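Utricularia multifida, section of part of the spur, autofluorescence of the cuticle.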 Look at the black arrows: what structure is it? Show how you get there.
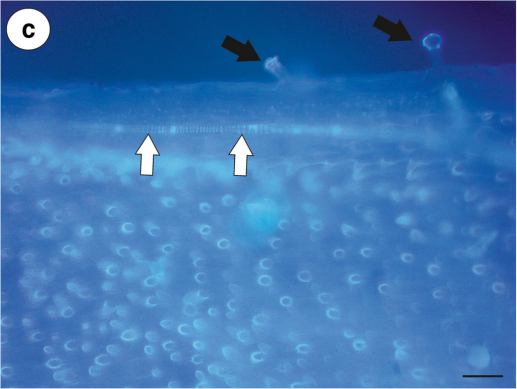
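Small bright-outlined bodies project from the outer edge of the section. That points to this answer: external trichomes.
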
